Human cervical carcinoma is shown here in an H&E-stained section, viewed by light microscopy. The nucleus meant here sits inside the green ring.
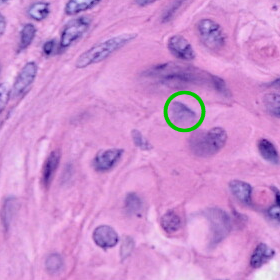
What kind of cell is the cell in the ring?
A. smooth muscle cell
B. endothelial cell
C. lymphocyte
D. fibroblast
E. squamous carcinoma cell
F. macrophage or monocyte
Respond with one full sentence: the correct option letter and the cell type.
The accurate option is E, with the cell in the ring being a squamous carcinoma cell.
